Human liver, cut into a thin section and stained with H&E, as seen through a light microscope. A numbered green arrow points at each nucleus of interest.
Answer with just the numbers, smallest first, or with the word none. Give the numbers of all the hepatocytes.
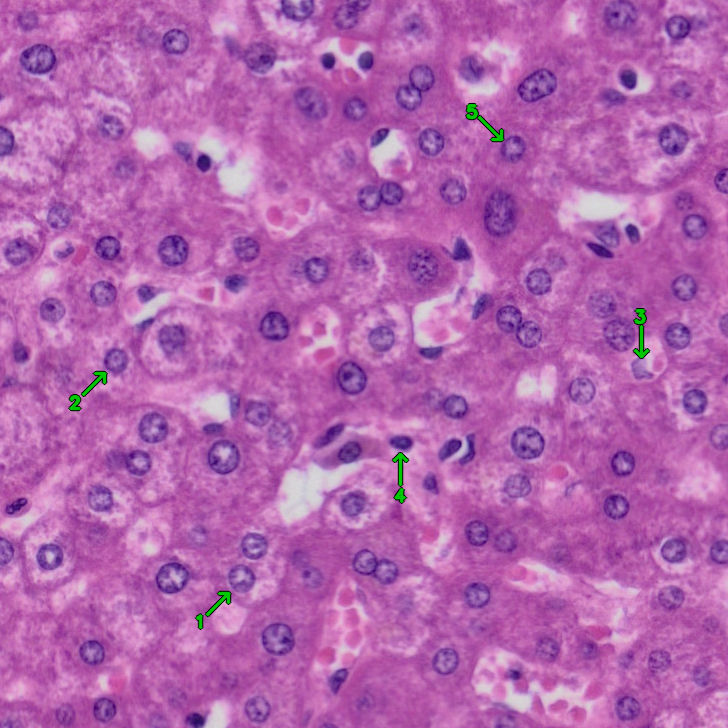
1, 2, 5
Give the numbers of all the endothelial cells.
3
